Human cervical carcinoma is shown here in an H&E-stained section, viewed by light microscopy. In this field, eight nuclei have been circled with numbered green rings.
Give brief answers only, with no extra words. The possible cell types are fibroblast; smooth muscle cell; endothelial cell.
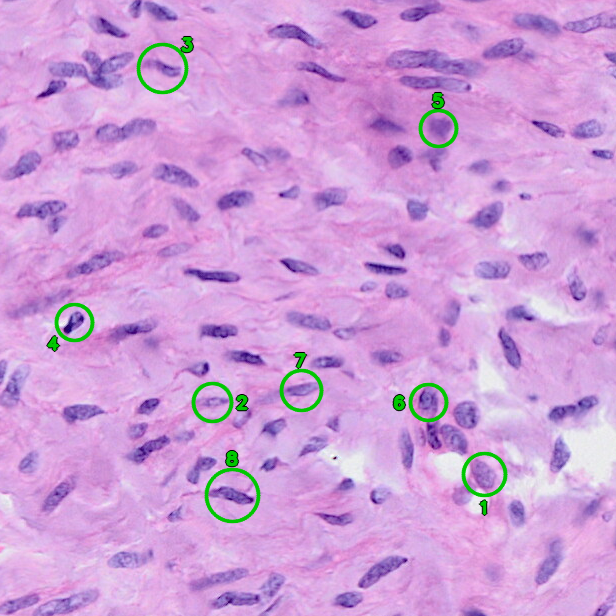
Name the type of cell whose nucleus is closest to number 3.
smooth muscle cell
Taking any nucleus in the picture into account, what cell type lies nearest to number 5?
fibroblast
